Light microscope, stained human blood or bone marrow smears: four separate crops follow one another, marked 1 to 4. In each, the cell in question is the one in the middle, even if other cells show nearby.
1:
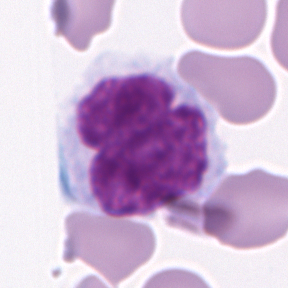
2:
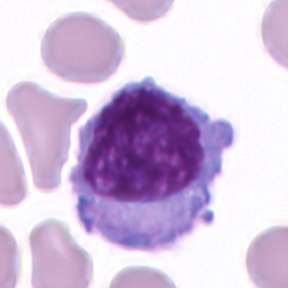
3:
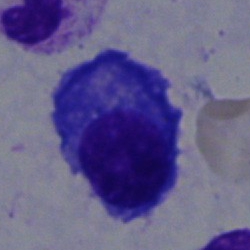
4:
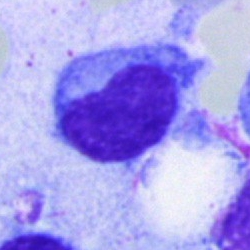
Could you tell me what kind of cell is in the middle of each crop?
1: hairy cell
2: plasma cell
3: plasma cell
4: hairy cell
